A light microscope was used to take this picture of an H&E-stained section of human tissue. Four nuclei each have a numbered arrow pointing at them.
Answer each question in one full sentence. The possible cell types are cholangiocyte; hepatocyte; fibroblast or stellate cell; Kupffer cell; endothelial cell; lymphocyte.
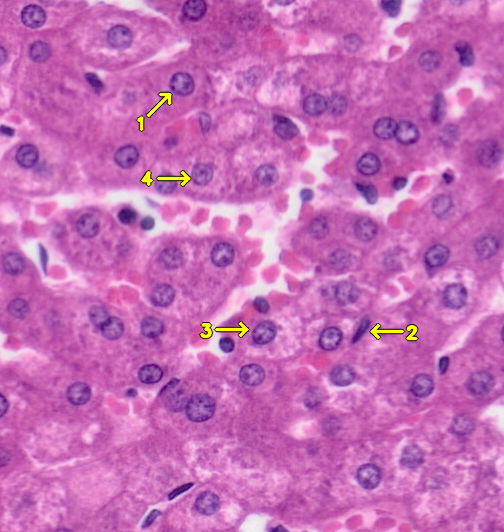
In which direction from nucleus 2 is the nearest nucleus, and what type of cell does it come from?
Just to the left of nucleus 2 lies the nearest nucleus, which belongs to a hepatocyte.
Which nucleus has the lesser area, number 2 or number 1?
It is nucleus 2; nucleus 1 has about 2 times its area.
